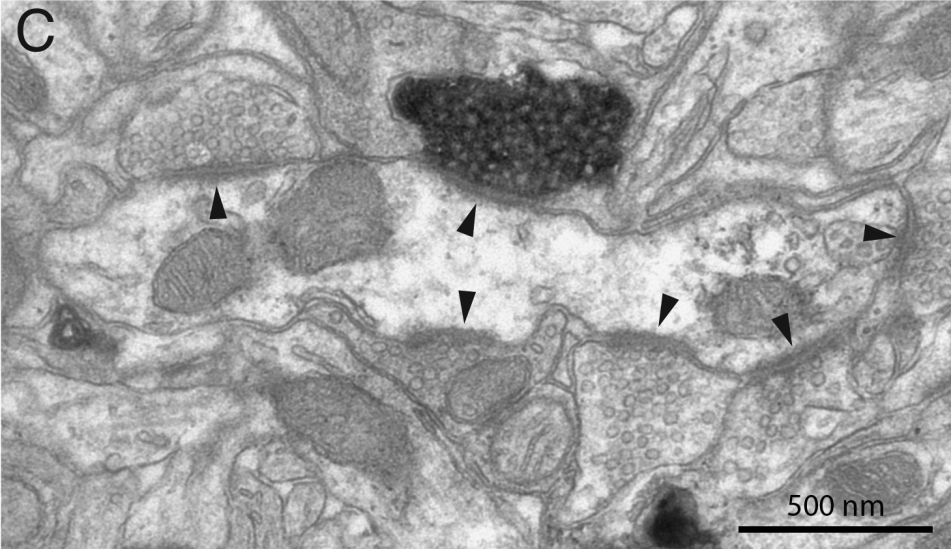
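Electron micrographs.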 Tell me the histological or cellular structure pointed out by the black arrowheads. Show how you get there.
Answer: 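Several arrowheads point to contacts between vesicle-filled profiles and a large pale profile. Dense membrane thickenings lie at the marked contacts. Clusters of small round vesicles lie next to the marked contacts.
Answer: synapses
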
